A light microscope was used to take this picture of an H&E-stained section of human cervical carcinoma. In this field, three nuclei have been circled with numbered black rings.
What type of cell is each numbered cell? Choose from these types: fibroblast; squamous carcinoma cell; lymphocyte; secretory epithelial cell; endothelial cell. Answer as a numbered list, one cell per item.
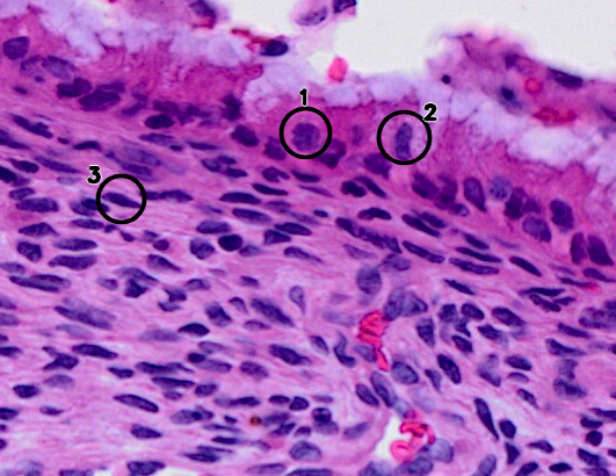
1. secretory epithelial cell
2. secretory epithelial cell
3. fibroblast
